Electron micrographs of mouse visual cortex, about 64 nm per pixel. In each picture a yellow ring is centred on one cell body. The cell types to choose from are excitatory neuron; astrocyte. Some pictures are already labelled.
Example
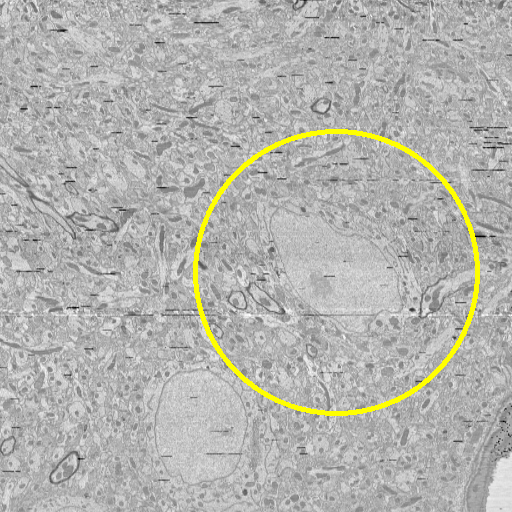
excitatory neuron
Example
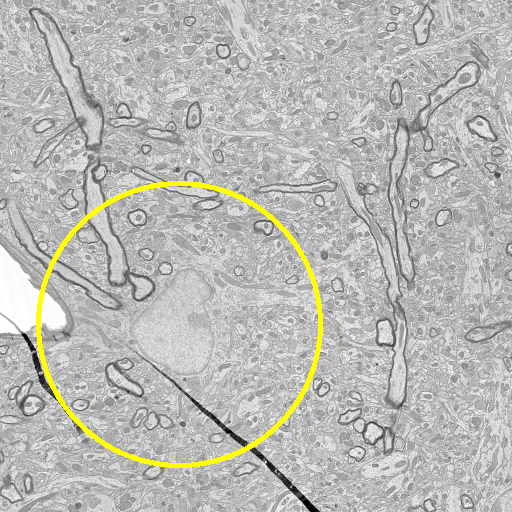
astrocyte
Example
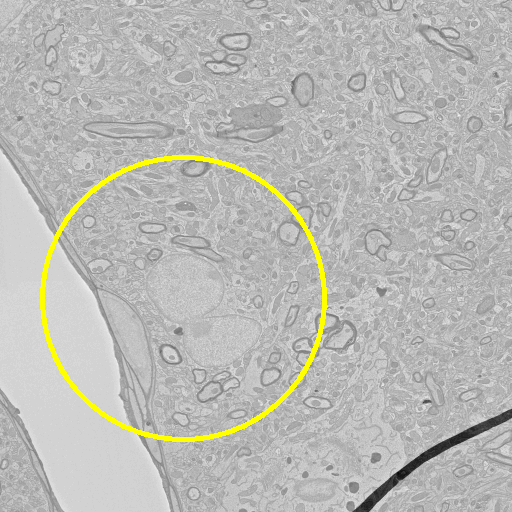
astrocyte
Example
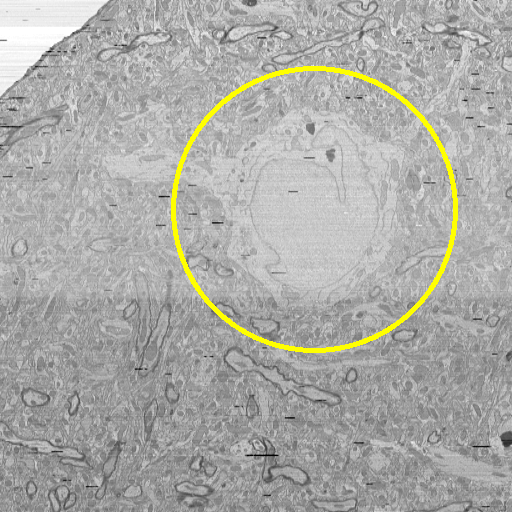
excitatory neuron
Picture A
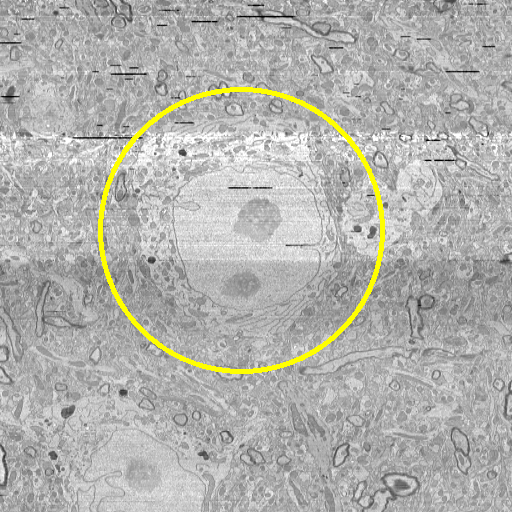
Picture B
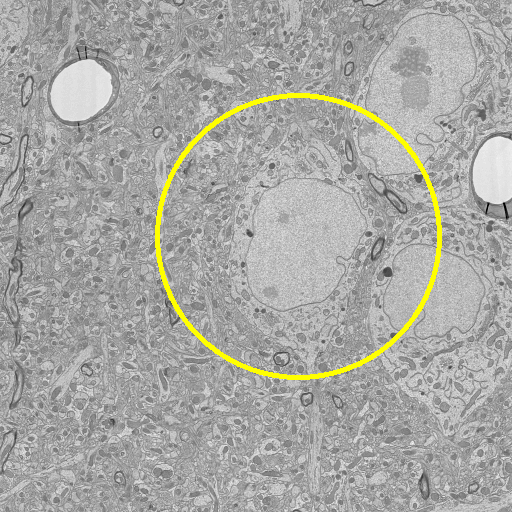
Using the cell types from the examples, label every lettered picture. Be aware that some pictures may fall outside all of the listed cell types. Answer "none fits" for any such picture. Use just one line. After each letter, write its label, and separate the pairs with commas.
A excitatory neuron, B excitatory neuron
